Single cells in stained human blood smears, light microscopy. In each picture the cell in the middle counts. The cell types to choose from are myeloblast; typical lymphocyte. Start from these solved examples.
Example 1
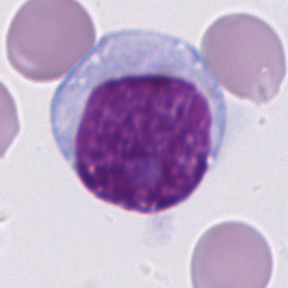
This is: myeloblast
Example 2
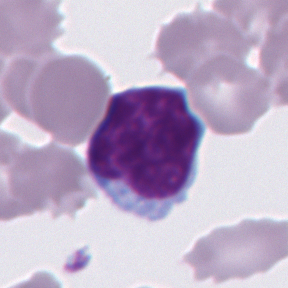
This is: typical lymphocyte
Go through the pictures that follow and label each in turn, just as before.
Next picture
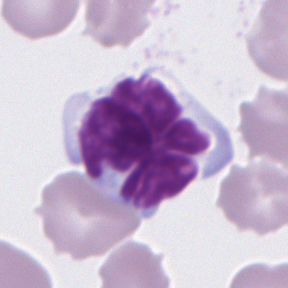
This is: typical lymphocyte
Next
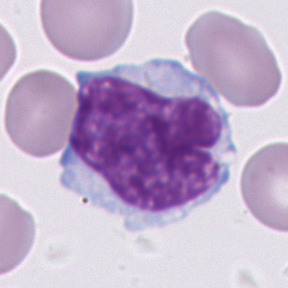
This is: myeloblast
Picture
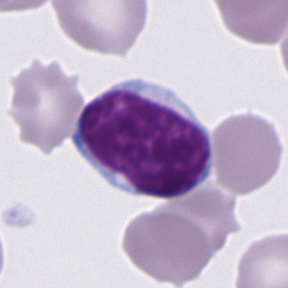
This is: typical lymphocyte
